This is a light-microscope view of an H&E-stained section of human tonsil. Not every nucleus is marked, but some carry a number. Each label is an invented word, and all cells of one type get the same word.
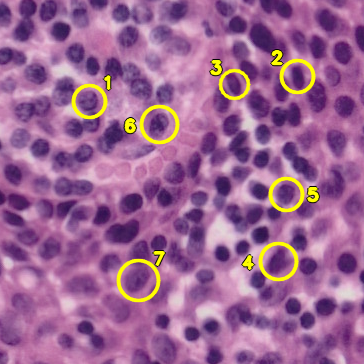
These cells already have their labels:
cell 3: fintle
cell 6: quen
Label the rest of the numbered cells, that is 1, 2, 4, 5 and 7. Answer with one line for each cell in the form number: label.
1: quen
2: fintle
4: fintle
5: quen
7: fintle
